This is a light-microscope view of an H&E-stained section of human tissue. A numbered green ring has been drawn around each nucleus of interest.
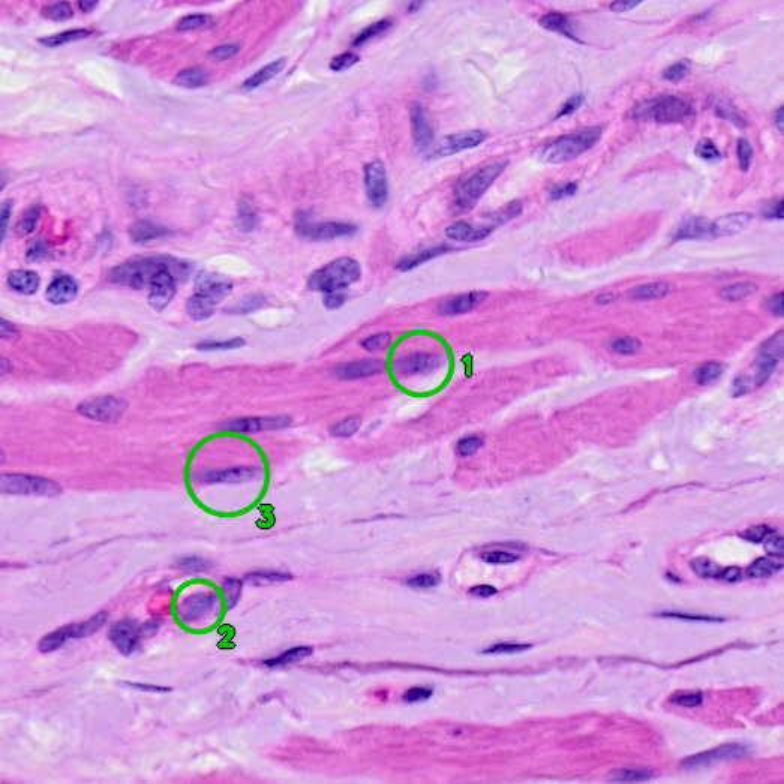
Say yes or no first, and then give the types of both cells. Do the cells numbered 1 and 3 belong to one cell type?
Yes, both cell 1 and cell 3 are classified as smooth muscle cells.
